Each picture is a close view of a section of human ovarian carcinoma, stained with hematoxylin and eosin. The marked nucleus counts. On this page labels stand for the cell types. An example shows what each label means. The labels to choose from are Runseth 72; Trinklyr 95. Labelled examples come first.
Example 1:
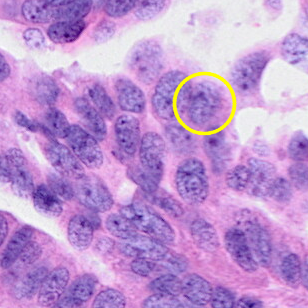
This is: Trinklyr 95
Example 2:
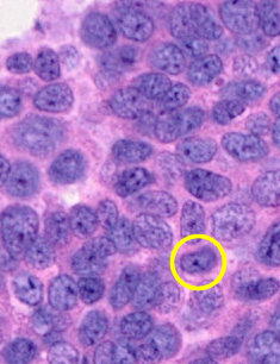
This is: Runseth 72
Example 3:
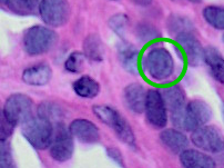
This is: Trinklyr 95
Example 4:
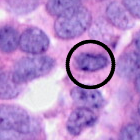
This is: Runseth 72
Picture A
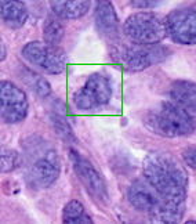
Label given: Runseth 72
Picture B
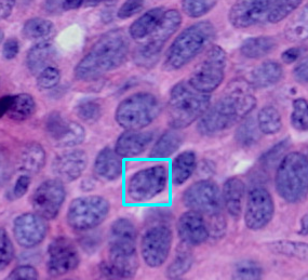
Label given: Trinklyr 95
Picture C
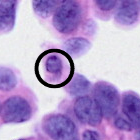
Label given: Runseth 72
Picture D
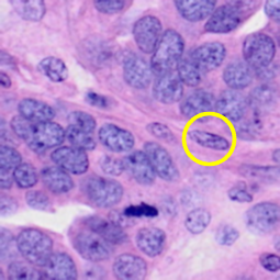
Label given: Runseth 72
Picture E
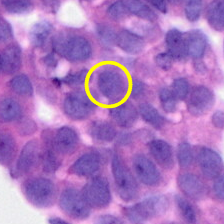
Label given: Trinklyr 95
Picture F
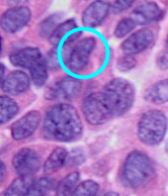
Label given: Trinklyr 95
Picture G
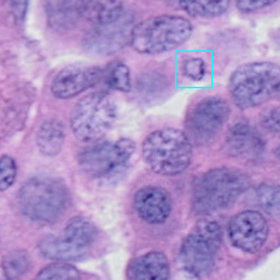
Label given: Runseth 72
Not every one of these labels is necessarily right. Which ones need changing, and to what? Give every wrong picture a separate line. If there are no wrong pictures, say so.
All correct.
